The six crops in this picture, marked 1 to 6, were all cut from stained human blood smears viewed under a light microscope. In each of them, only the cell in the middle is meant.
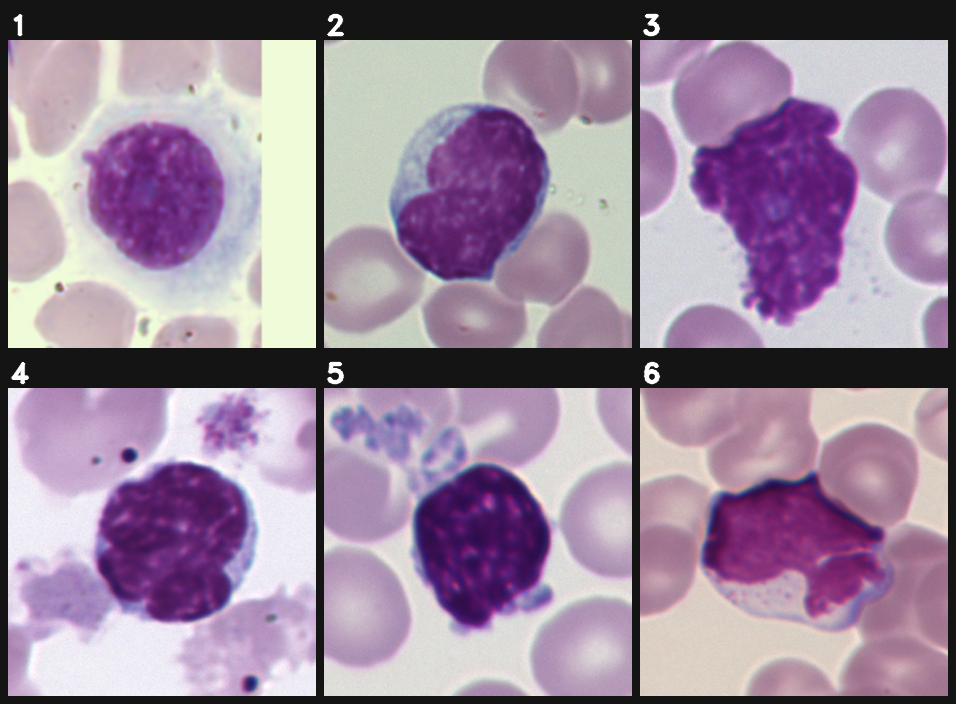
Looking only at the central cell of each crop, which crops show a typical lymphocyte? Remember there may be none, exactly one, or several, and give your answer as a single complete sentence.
Looking at crops 2, 4 and 5, the middle cells are typical lymphocytes.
